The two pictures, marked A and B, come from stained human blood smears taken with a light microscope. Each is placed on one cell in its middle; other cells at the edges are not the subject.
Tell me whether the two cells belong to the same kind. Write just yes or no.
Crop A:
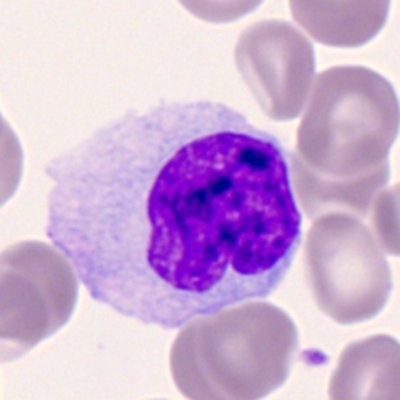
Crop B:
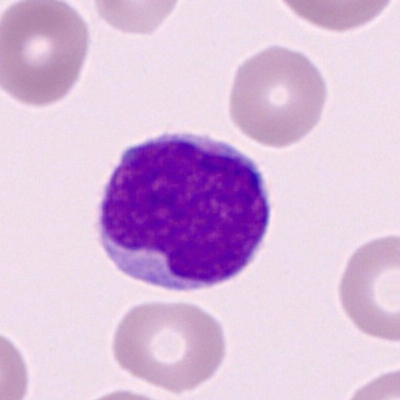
no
